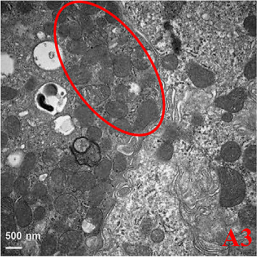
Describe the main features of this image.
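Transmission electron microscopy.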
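This electron micrograph shows the cytoplasm of a cell crowded with mitochondria, seen as dark rounded and oval organelles with faint internal cristae. In the upper part a group of them is gathered closely together; many are small and round rather than long, as if larger ones had split into pieces. Elsewhere a few clear vacuoles open in the cytoplasm, and at the left lies a very dark, ringed inclusion beside a pale rounded space.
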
